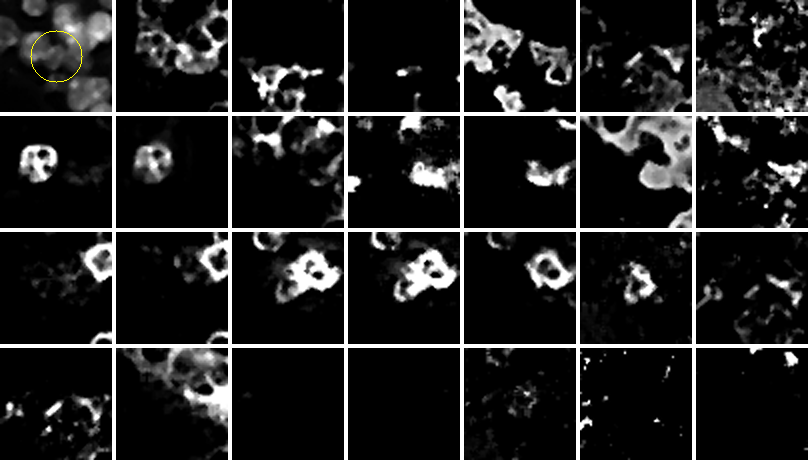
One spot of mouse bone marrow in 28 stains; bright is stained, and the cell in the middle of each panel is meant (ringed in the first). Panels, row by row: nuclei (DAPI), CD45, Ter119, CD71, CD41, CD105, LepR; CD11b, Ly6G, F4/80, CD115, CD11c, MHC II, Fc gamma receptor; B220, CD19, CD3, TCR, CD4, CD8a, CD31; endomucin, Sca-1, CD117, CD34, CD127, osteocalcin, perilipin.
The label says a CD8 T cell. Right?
Right.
